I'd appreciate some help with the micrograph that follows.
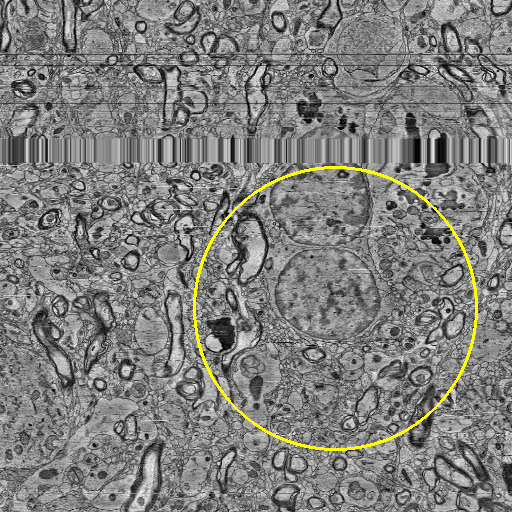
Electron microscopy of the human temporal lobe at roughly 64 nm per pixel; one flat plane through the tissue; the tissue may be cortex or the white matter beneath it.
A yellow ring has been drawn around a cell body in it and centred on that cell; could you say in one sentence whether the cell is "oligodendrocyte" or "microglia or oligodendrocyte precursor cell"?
It is an oligodendrocyte at the centre of the ring.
